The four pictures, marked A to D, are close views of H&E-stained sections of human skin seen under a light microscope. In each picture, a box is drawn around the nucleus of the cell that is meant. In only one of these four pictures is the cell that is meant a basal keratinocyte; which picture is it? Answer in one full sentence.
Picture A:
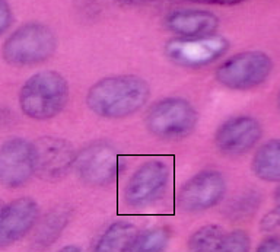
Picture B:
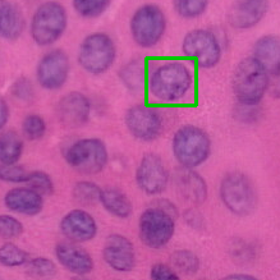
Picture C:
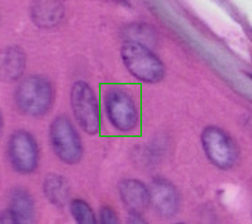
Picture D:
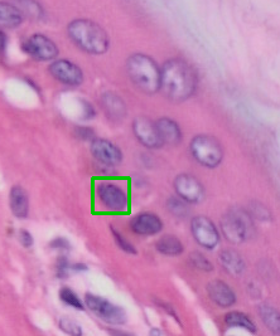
Picture D is the one that shows the basal keratinocyte.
